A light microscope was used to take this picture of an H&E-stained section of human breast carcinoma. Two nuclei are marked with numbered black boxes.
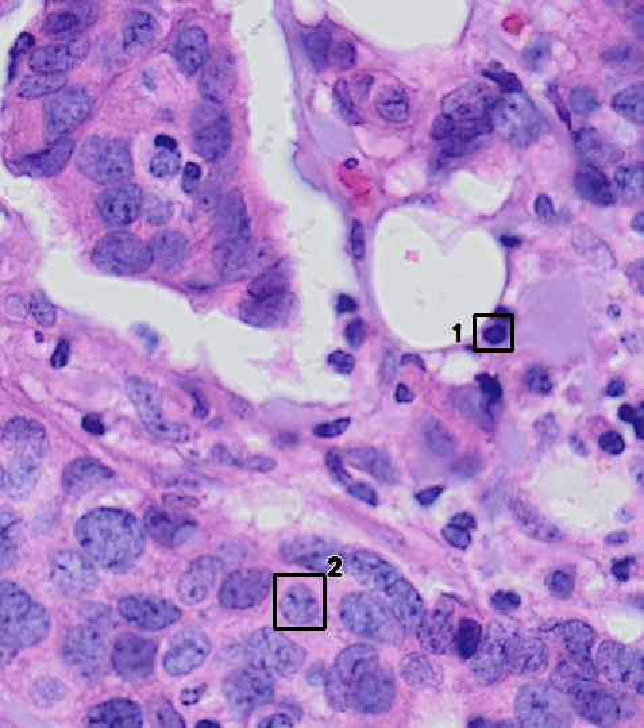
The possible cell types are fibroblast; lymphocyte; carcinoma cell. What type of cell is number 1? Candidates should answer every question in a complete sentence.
The cell that is numbered 1 is a lymphocyte.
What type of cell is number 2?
The nucleus labeled 2 belongs to a carcinoma cell.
